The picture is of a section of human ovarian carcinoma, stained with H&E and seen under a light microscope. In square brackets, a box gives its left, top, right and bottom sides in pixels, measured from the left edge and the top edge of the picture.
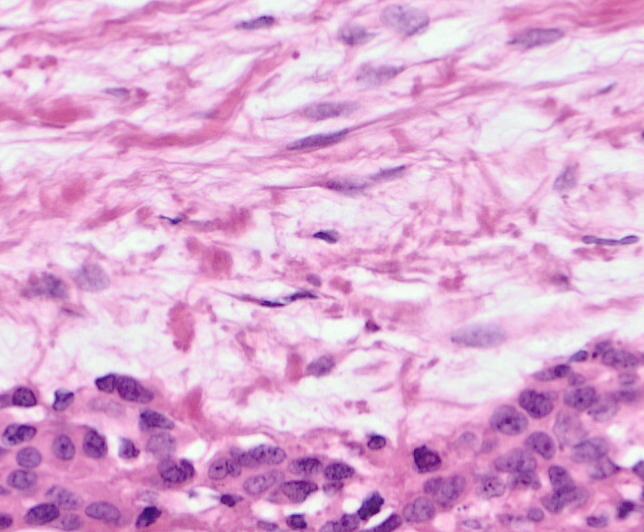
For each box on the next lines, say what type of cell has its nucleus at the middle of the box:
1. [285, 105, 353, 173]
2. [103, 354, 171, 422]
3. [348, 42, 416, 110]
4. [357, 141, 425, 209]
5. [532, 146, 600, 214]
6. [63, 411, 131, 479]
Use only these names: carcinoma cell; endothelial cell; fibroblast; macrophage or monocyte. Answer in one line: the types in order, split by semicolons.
fibroblast; carcinoma cell; fibroblast; fibroblast; fibroblast; carcinoma cell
